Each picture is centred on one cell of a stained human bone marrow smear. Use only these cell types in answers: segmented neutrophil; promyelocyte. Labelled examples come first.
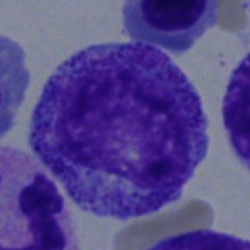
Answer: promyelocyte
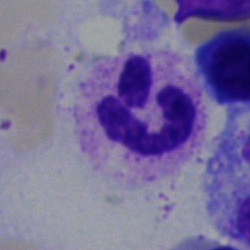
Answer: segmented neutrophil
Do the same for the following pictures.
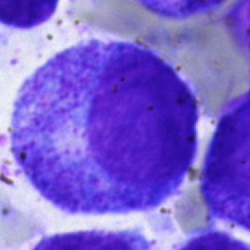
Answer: promyelocyte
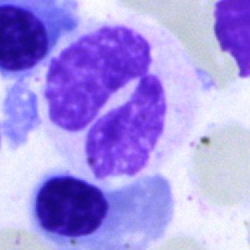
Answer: segmented neutrophil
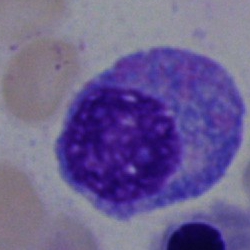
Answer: promyelocyte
